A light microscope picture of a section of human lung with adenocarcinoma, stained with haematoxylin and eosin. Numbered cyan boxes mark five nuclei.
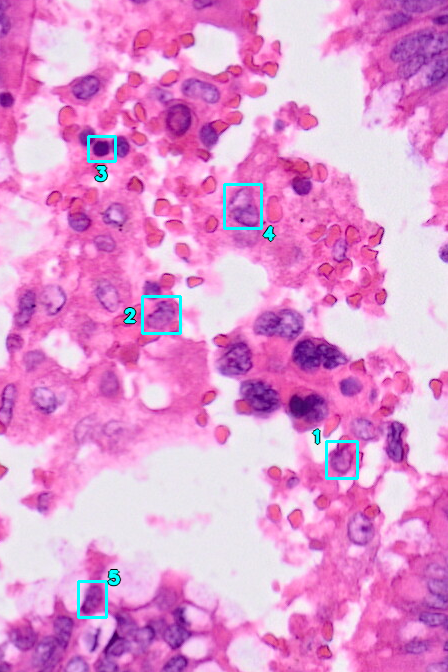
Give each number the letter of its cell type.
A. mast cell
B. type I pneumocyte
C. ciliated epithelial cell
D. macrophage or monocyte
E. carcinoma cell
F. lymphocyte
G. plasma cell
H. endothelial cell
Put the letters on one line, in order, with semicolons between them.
D; D; F; D; C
